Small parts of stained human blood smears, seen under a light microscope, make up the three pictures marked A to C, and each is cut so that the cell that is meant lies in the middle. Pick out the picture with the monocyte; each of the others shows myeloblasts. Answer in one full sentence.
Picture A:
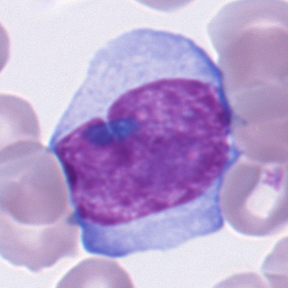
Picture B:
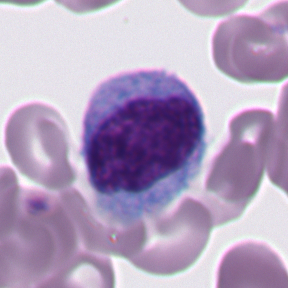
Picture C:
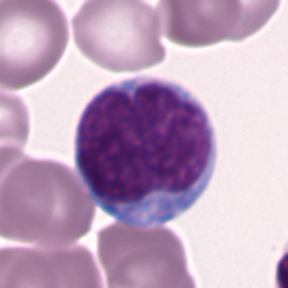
The picture with the monocyte is B.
